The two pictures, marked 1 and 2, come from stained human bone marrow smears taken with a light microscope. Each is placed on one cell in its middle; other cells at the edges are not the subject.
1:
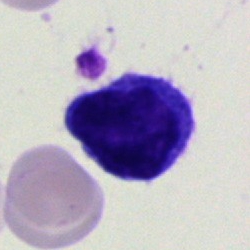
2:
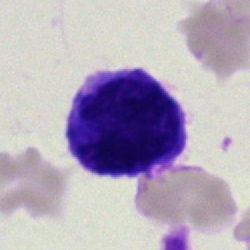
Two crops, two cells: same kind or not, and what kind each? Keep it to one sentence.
No, it is a lymphocyte that crop 1 shows, and a blast that crop 2 shows.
